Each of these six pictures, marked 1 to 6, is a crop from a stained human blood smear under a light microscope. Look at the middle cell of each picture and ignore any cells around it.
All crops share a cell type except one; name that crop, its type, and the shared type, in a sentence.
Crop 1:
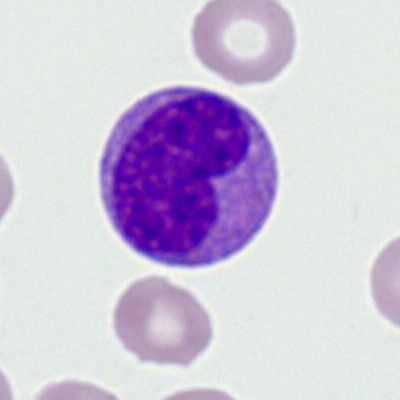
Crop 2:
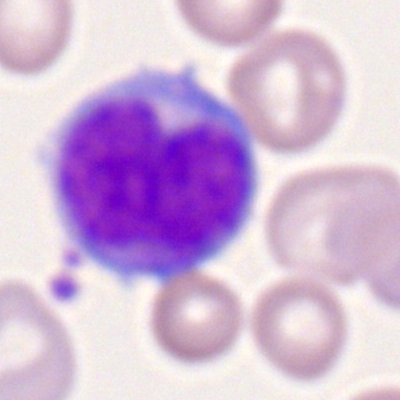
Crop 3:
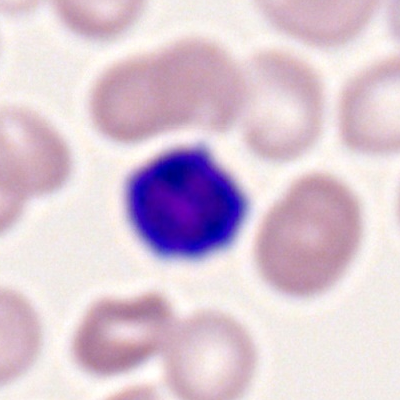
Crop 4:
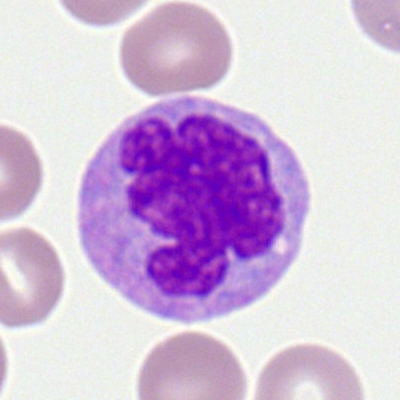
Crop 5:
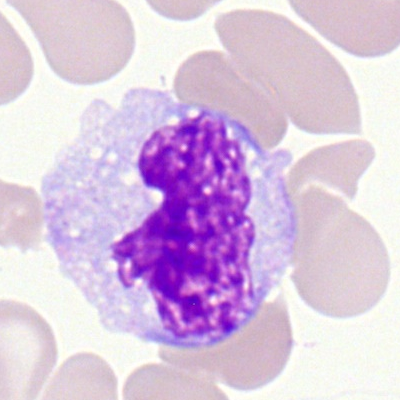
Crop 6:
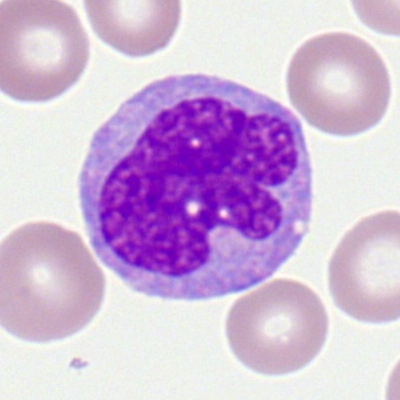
Crop 3, showing a lymphocyte, is the exception; the others all show monocytes.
